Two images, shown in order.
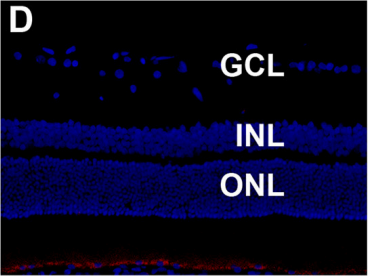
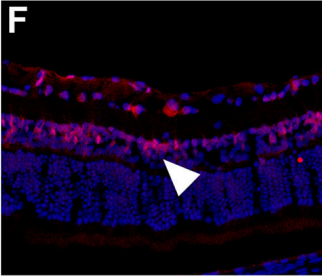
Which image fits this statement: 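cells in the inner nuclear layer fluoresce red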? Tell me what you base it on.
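Second image: the middle nuclear band is tinged pink-red and red cells lie at the inner surface. First image: all nuclear layers are plain blue with no red in the cells.
Answer: the second image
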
